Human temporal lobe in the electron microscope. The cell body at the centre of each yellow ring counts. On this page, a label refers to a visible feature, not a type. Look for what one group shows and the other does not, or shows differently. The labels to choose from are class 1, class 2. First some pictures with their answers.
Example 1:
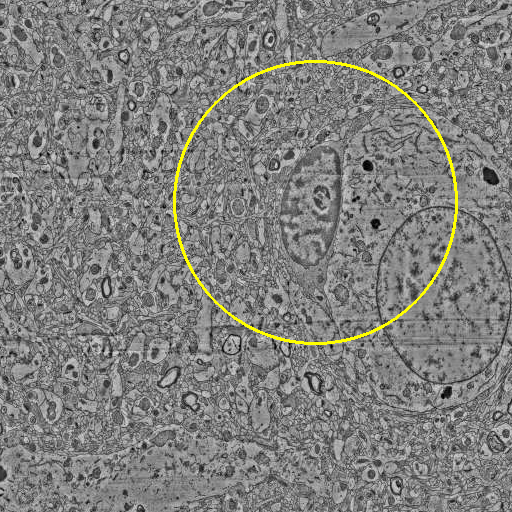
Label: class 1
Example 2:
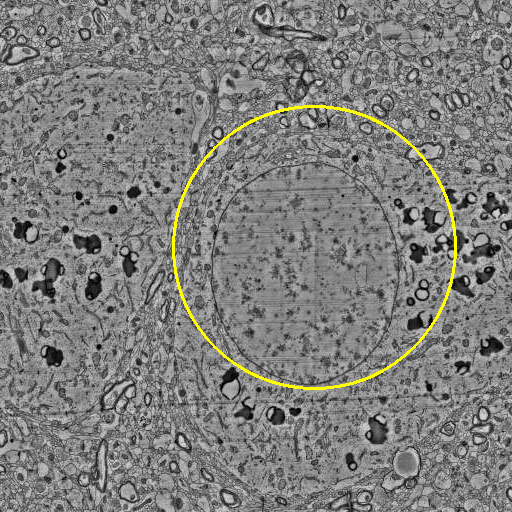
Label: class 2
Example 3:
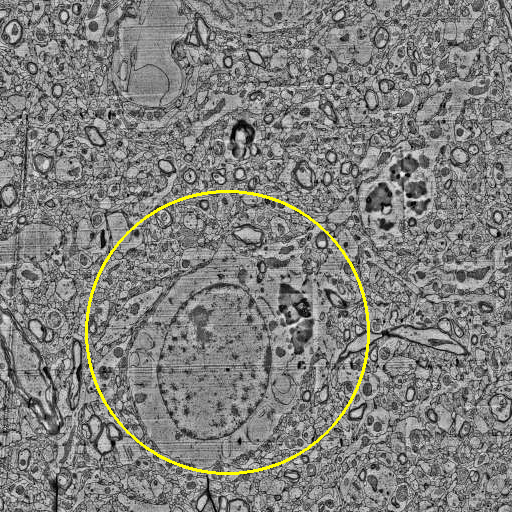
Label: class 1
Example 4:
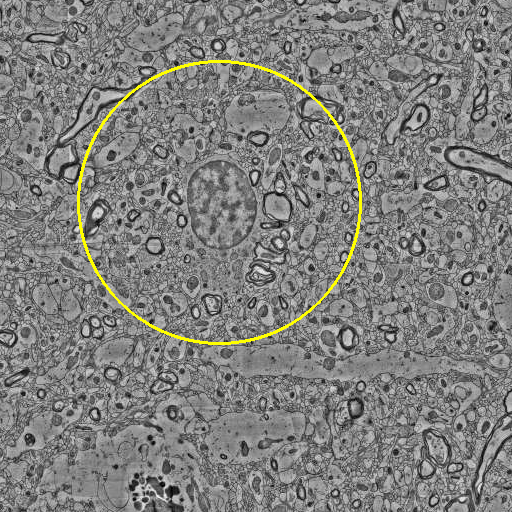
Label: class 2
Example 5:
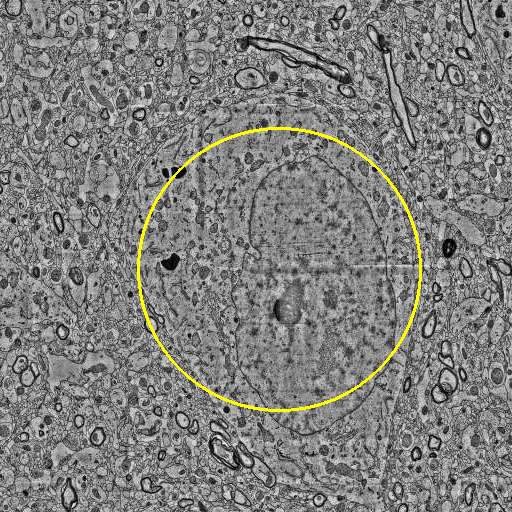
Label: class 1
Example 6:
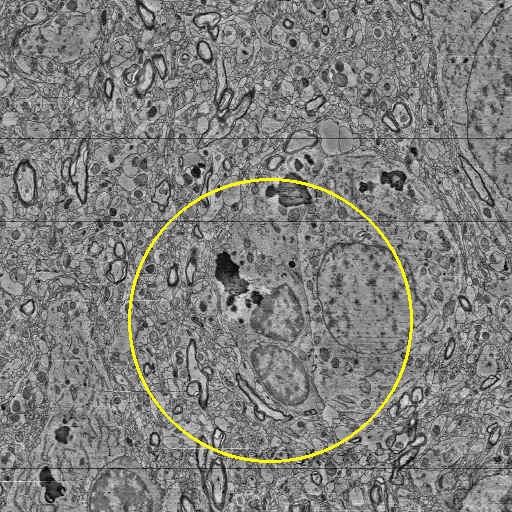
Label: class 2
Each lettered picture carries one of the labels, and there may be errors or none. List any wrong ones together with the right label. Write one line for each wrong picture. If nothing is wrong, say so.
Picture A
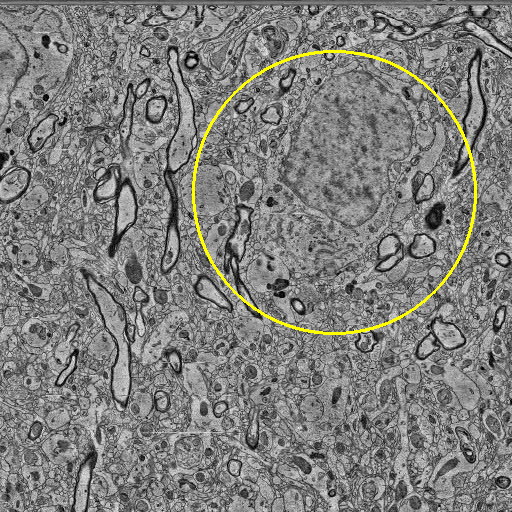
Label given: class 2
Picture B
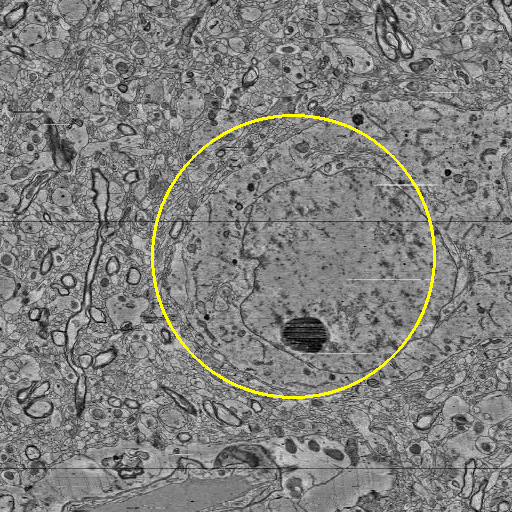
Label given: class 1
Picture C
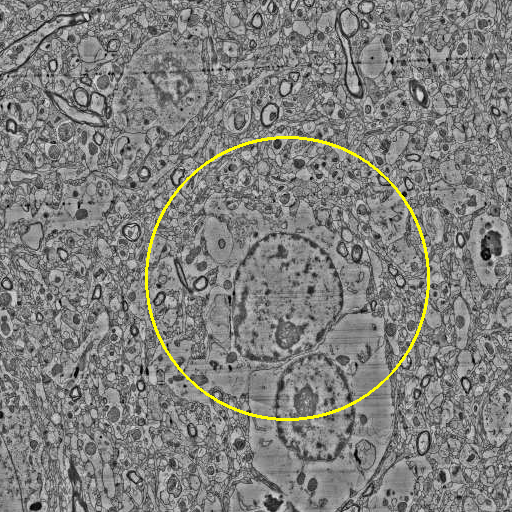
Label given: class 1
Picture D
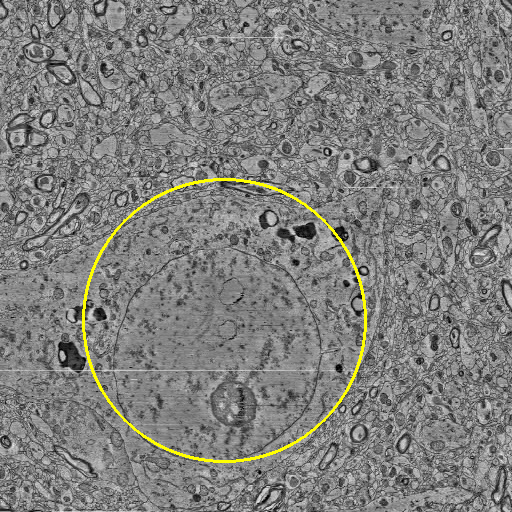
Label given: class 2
D is labelled class 2; correct label: class 1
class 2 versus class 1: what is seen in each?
In class 2: no nucleolus seen. In class 1: nucleolus seen.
